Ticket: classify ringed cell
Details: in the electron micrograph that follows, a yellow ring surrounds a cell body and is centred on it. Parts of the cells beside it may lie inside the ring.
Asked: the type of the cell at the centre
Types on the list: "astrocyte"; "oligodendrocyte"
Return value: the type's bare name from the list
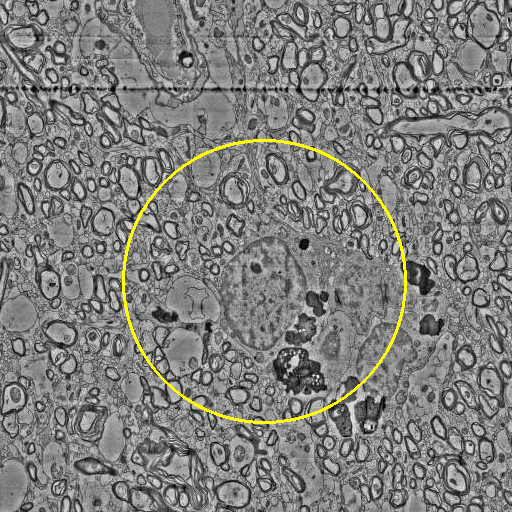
oligodendrocyte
